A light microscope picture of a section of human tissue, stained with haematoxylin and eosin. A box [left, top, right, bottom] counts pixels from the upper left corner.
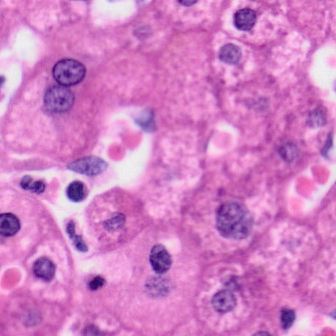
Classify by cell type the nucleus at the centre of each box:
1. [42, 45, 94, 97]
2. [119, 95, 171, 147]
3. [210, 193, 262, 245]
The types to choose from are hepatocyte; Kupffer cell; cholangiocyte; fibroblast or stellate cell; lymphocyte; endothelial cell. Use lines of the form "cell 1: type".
cell 1: hepatocyte
cell 2: endothelial cell
cell 3: hepatocyte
